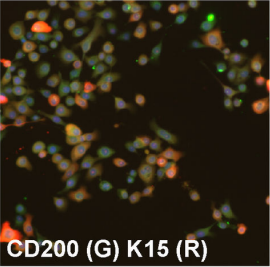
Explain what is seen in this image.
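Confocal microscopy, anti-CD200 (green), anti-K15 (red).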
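Dispersed cultured cells lie singly and in loose groups on the substrate, most of them small, rounded to polygonal, with a few spread cells carrying thin processes. Many cells show orange to yellow cytoplasm where red and green overlap, while a subset has intense red cytoplasm. Scattered bright green dots and a few small green-dominant cells are present, and bluish round nuclei can be made out within many cells.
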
